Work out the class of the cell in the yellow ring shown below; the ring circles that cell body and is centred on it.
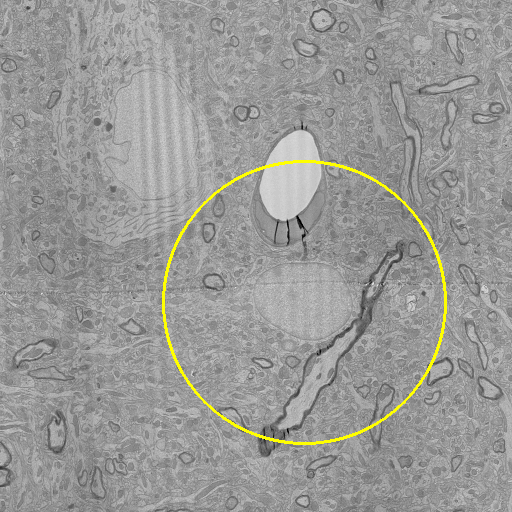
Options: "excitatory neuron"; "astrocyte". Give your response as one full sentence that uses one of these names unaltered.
The body ringed in yellow, right at the ring's centre, is that of an astrocyte.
